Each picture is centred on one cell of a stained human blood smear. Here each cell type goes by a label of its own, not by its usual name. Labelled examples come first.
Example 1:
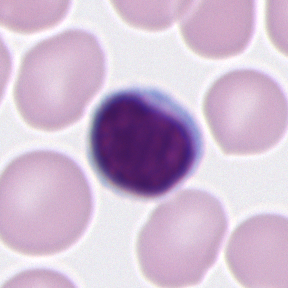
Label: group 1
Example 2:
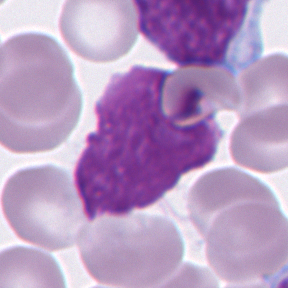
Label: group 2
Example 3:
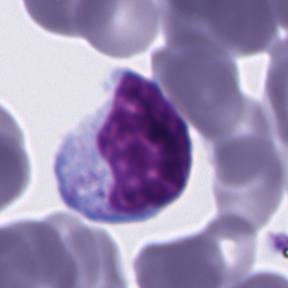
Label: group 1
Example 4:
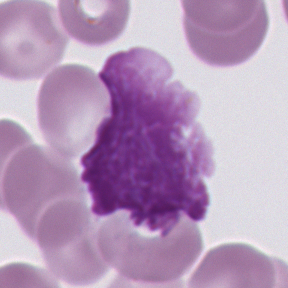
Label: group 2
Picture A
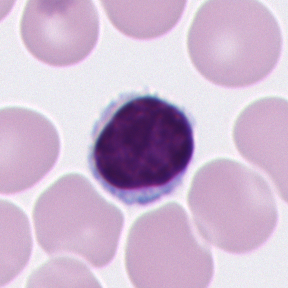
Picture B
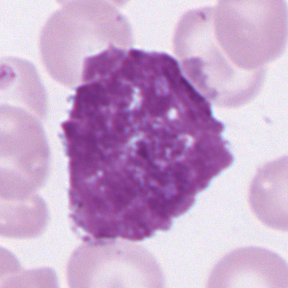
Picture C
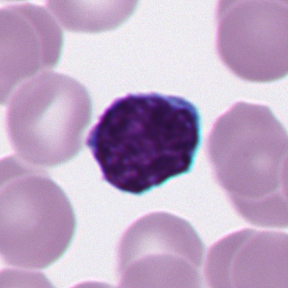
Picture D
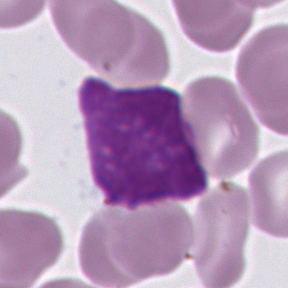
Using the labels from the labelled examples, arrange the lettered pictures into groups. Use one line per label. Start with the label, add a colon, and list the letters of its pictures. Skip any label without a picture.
group 1: A, C
group 2: B, D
